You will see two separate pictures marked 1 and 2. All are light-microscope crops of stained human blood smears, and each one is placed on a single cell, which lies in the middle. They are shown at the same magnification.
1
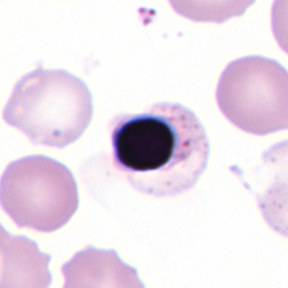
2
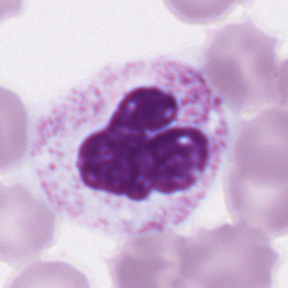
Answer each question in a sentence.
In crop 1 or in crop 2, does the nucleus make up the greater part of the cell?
In crop 1 the nucleus takes up the larger part of its cell.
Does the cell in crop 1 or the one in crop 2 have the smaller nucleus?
It is the nucleus in crop 1; the one in crop 2 has about 4 times its area.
